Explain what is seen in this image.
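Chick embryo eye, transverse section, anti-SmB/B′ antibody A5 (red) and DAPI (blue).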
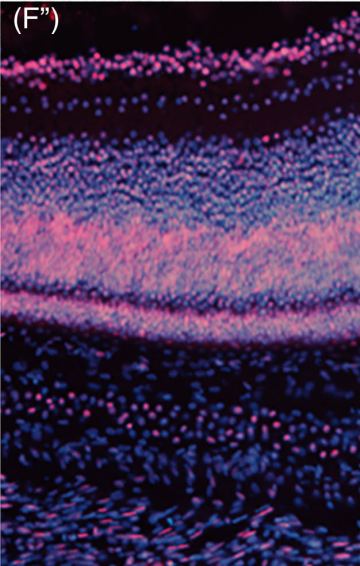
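This is the developing neuroretina, already stratified into a top row of loosely spaced ganglion cell nuclei, a nucleus-poor inner plexiform band, a thick densely packed inner nuclear layer and a compact outer nuclear layer. Beneath the retina, looser tissue of the developing choroid and sclera holds scattered nuclei, some of them red.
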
